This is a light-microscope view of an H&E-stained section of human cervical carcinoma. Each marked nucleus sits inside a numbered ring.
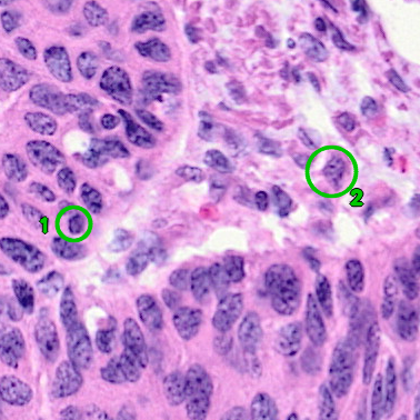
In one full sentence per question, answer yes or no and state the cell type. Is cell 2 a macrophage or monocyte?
Yes, cell 2 is a macrophage or monocyte in this tissue section.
